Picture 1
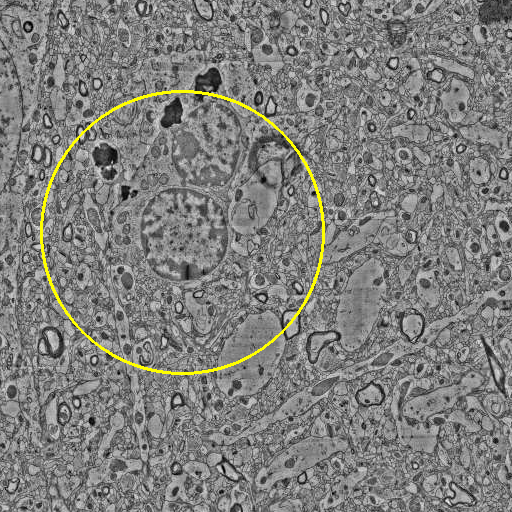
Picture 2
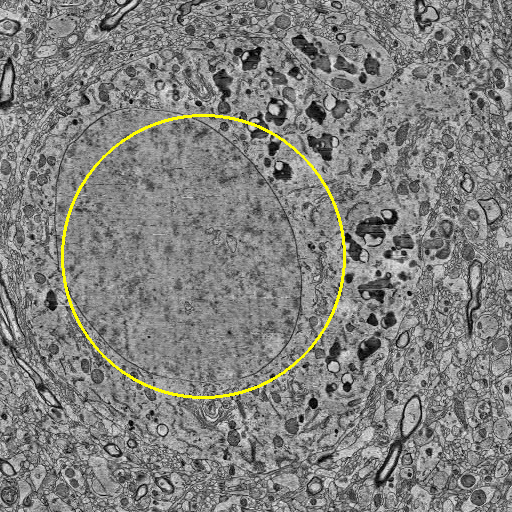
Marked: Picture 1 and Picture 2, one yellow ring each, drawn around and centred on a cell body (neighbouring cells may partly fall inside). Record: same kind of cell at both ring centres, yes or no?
no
